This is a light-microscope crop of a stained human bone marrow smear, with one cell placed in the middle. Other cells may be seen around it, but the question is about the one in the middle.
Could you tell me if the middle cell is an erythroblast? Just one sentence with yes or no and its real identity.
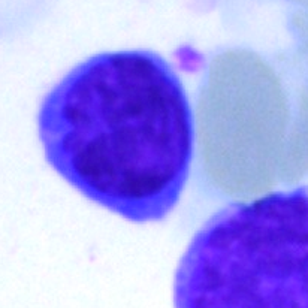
No, the central cell here is a lymphocyte; calling it an erythroblast is not right.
